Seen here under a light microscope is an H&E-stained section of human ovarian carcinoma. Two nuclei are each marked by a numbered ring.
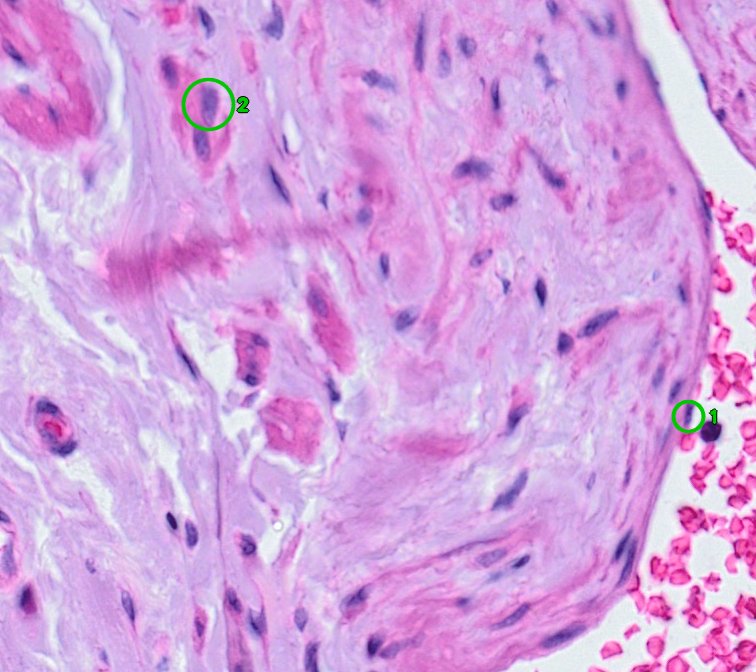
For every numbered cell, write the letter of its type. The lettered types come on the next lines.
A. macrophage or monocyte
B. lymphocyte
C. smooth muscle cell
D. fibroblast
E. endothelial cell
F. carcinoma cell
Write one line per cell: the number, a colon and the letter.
1: E
2: C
